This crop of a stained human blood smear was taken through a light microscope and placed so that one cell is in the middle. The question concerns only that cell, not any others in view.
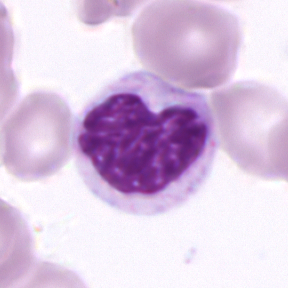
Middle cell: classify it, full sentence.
The cell centred in this crop is categorized as a metamyelocyte.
